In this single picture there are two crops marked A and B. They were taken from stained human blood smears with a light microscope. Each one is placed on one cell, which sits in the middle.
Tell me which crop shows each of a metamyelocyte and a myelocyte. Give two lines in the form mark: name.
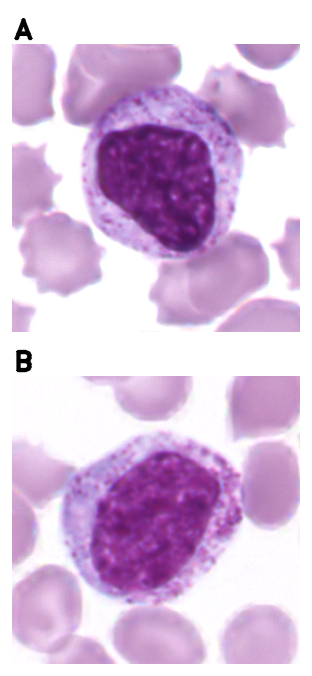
A: metamyelocyte
B: myelocyte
